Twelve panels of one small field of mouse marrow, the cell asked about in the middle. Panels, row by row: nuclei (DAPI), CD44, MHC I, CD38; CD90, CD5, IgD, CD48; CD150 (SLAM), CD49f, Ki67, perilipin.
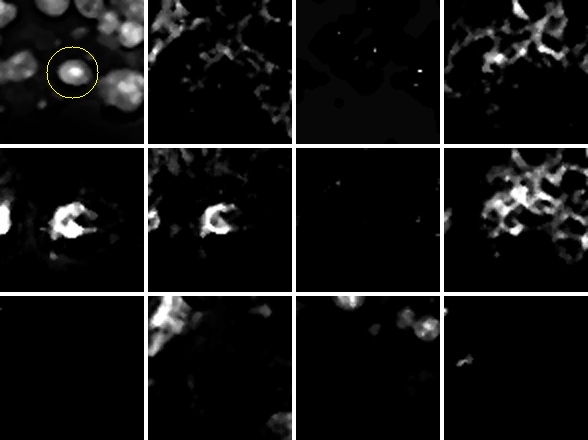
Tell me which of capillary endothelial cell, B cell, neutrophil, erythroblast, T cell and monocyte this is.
The picture shows a T cell.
